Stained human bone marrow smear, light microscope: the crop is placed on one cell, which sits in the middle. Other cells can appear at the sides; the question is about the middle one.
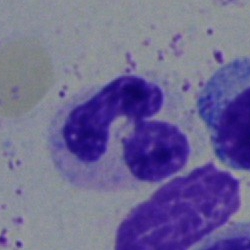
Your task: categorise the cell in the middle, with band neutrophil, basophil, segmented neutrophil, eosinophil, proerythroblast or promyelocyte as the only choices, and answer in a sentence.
The center cell of this crop is a segmented neutrophil.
